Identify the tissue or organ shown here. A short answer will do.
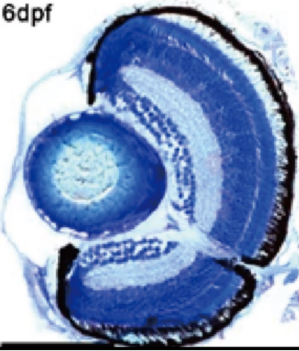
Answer: eye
